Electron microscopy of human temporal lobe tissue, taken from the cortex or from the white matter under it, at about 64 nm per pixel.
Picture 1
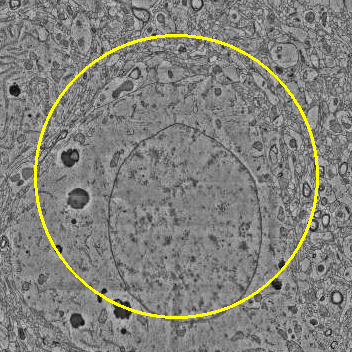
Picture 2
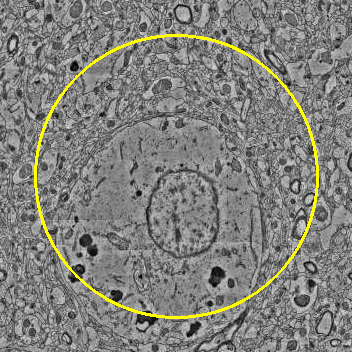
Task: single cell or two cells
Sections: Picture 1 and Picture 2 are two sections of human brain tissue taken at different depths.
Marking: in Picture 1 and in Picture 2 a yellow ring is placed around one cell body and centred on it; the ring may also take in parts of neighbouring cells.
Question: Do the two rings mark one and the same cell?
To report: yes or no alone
yes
